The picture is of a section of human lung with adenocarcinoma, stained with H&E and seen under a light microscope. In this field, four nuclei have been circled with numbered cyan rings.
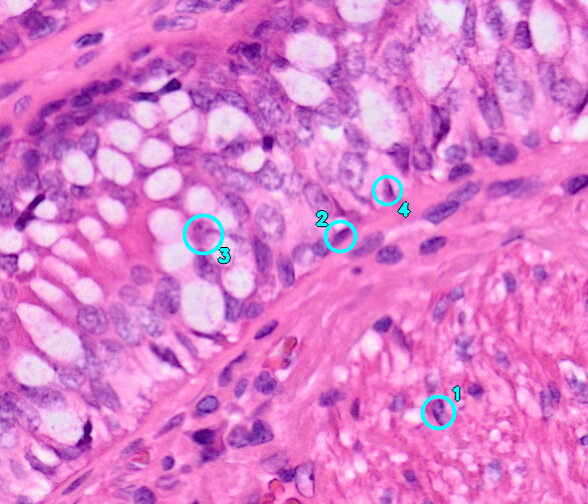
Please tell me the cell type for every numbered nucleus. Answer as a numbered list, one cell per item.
1. mast cell
2. ciliated epithelial cell
3. ciliated epithelial cell
4. ciliated epithelial cell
